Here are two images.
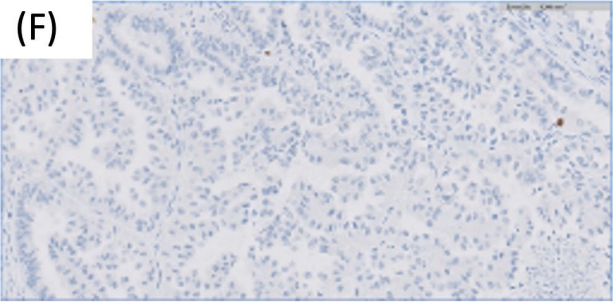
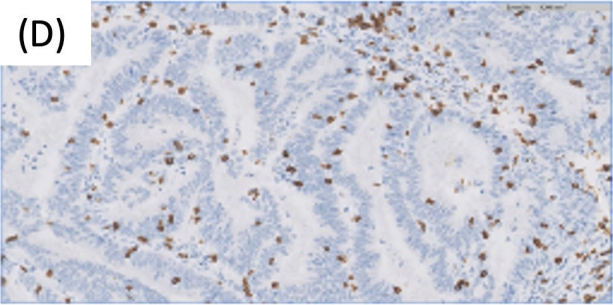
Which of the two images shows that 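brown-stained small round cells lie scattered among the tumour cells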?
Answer: The second image.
